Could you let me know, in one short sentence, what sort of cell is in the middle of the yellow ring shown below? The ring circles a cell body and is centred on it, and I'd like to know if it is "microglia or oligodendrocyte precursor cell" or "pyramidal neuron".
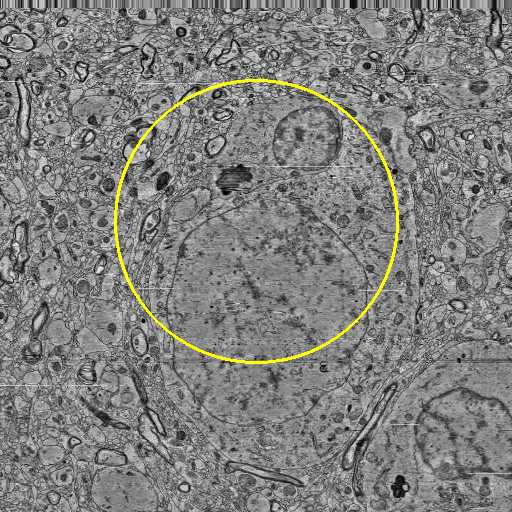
The ring circles the cell body of a pyramidal neuron.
